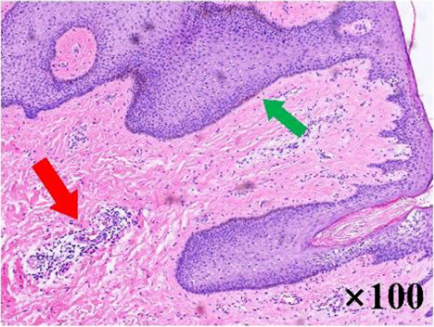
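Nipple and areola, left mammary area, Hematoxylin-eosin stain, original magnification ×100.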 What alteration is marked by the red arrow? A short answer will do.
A: Immune cell infiltration.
